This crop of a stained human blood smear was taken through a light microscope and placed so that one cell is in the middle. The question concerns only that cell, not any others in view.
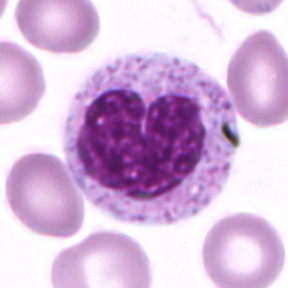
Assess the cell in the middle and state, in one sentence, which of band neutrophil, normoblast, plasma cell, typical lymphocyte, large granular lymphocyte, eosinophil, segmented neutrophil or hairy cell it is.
The cell at the middle of the crop is recognized as a band neutrophil.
